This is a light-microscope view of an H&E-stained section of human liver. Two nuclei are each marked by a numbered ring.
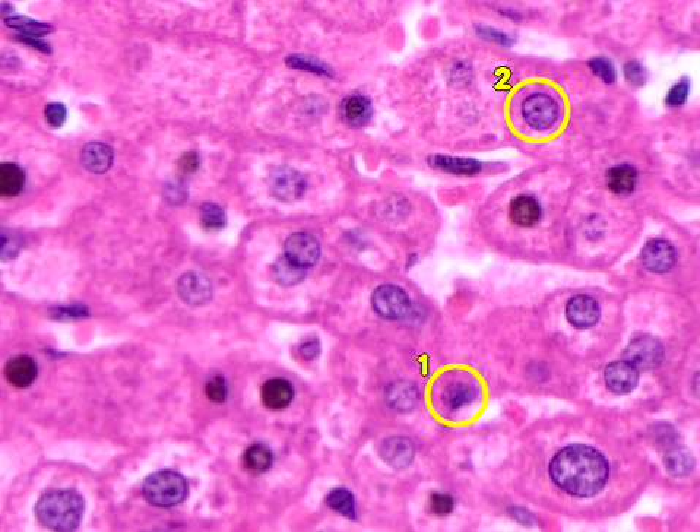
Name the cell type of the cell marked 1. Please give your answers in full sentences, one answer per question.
The cell given label 1 is a fibroblast or stellate cell.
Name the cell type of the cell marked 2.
Denoted by the label 2 in the section is a hepatocyte.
